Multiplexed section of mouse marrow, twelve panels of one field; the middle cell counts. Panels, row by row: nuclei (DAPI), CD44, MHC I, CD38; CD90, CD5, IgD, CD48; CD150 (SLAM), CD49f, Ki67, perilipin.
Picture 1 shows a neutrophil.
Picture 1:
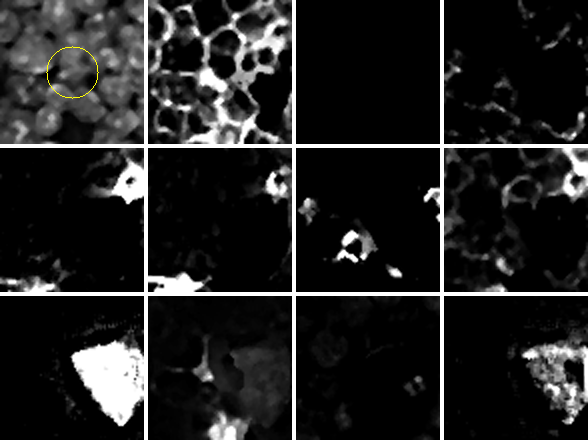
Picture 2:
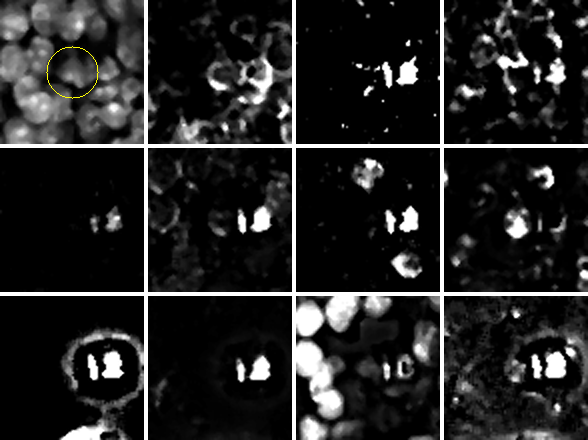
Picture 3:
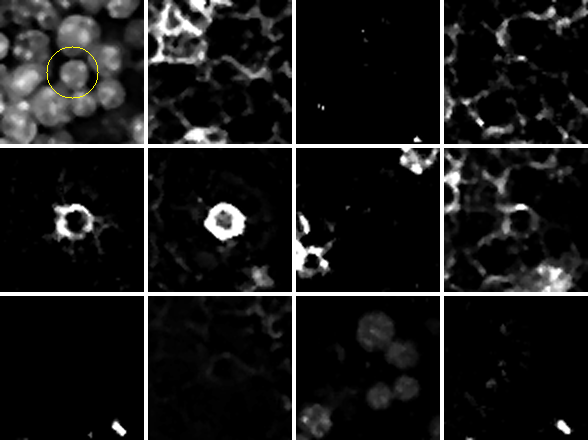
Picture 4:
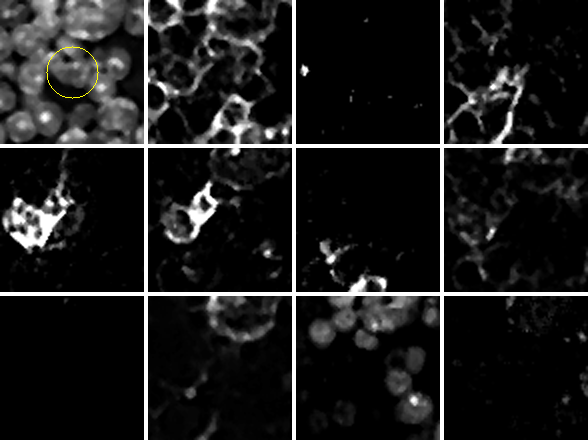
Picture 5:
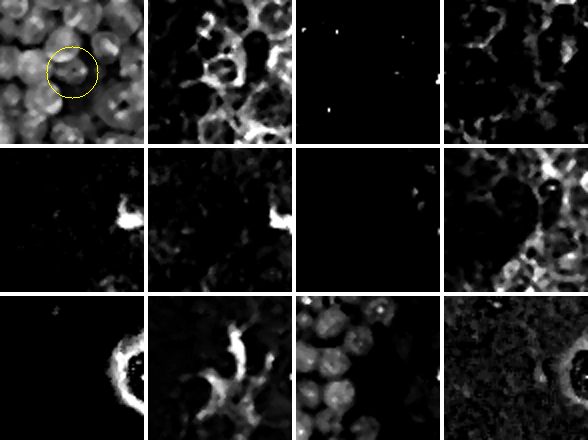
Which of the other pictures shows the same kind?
Picture 5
